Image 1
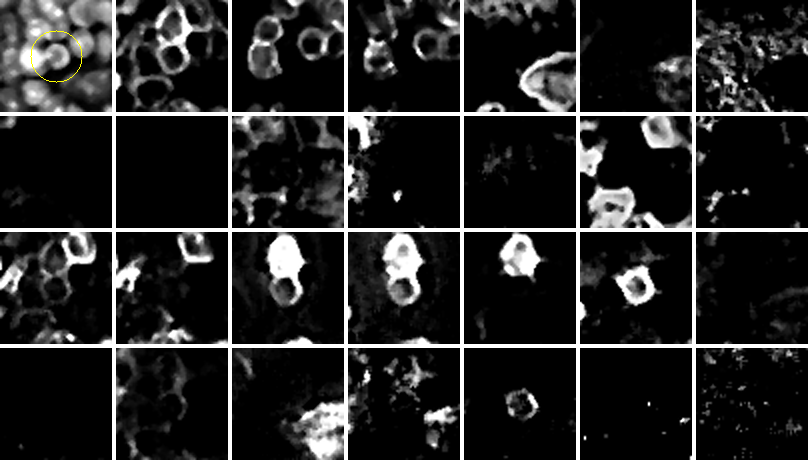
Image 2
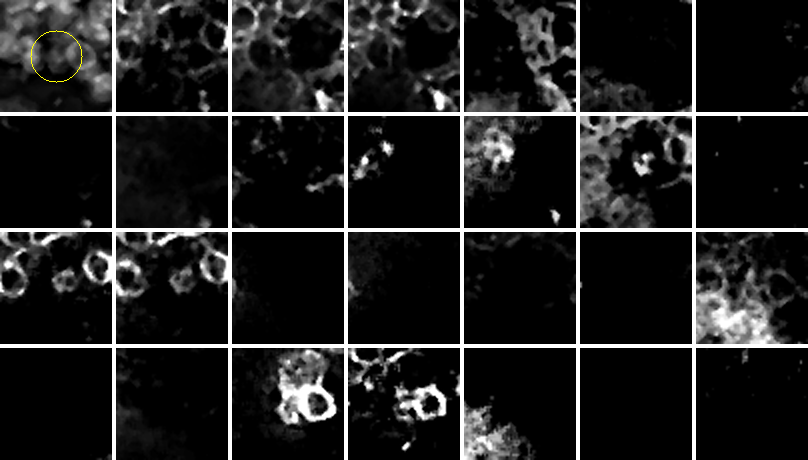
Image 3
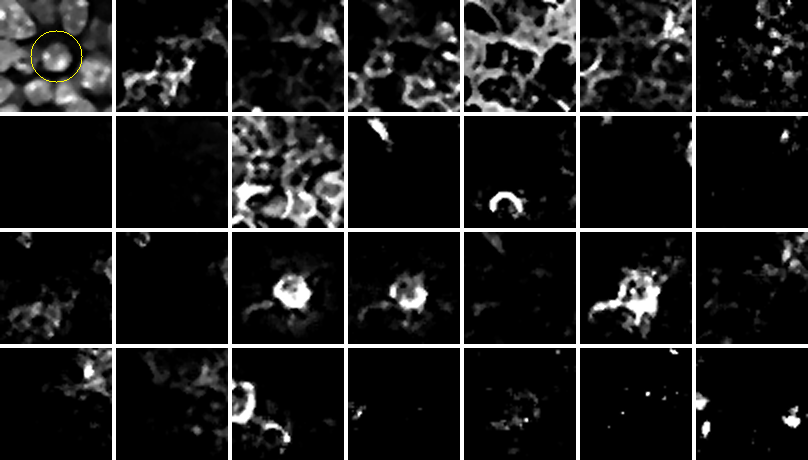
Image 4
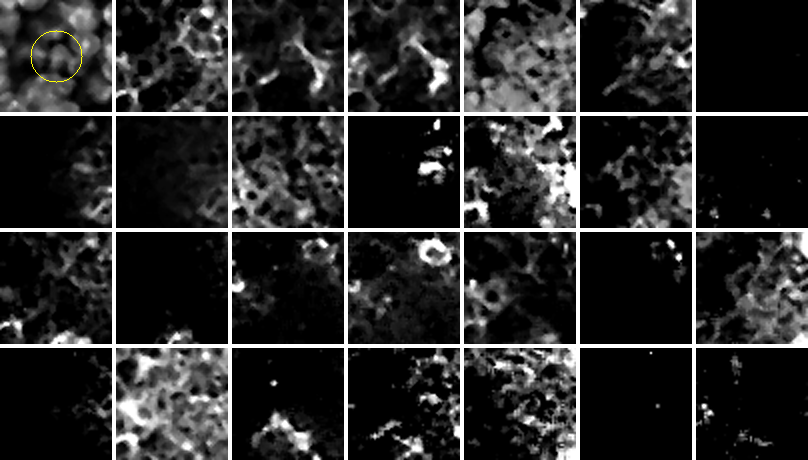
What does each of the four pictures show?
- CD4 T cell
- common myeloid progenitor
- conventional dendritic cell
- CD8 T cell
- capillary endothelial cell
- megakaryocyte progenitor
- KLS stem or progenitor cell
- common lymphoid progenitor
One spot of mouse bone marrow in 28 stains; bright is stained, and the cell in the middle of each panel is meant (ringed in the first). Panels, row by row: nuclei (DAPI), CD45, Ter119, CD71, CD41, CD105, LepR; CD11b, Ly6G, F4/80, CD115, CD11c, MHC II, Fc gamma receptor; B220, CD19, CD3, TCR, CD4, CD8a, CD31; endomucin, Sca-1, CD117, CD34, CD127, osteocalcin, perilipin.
1. CD8 T cell
2. common myeloid progenitor
3. CD8 T cell
4. common lymphoid progenitor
